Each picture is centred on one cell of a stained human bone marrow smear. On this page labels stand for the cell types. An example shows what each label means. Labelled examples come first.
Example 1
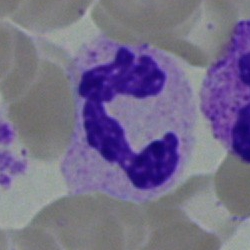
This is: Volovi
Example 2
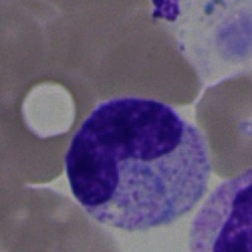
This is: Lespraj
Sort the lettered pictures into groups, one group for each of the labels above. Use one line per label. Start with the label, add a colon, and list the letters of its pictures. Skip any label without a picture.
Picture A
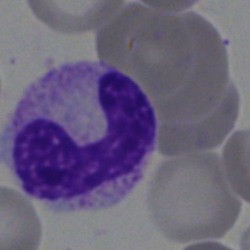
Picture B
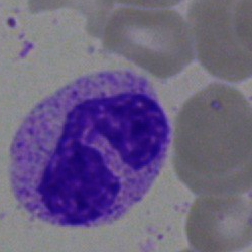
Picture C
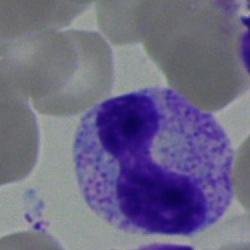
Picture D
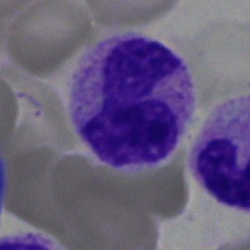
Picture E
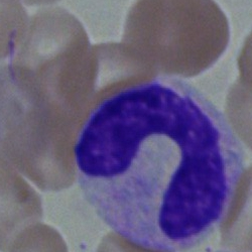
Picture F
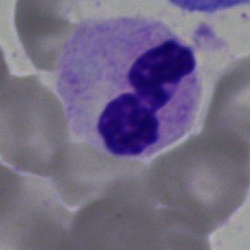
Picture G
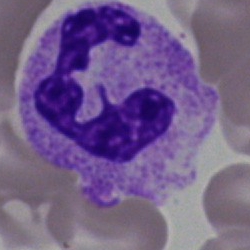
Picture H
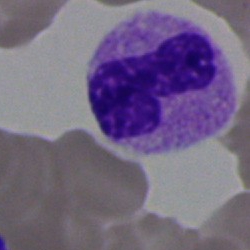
Volovi: B, F, G
Lespraj: A, C, D, E, H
